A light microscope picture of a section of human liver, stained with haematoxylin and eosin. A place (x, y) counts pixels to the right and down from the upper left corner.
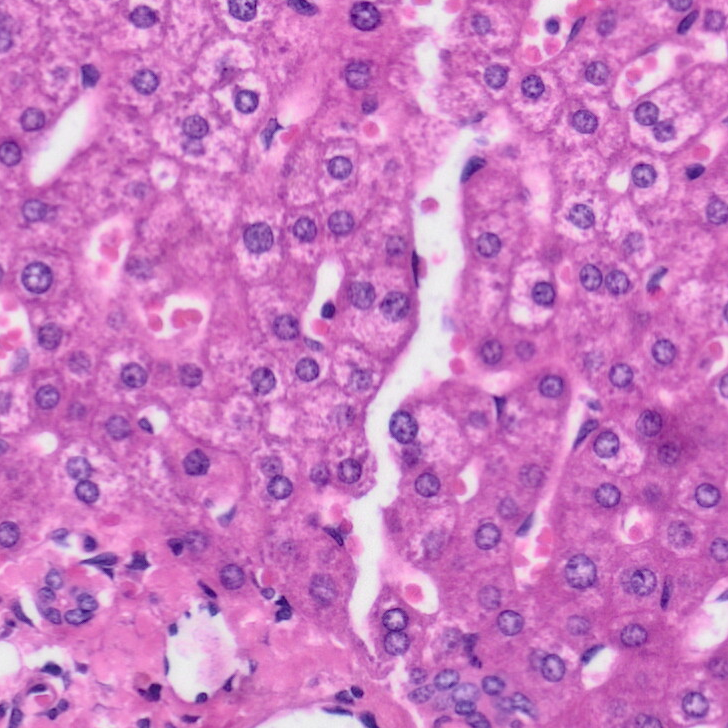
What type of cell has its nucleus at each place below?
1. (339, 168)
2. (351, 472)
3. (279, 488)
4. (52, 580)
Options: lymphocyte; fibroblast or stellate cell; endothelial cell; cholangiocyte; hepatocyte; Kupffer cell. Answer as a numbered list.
1. hepatocyte
2. hepatocyte
3. hepatocyte
4. cholangiocyte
